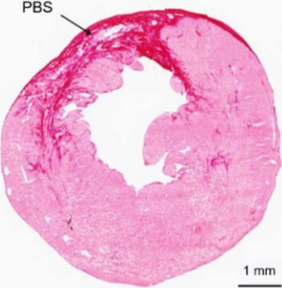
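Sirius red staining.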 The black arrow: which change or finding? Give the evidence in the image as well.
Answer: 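Infarcted area. The arrow points to a band of deep red stain along the outer wall. The wall under the deep red band is thinner than the pale pink wall elsewhere.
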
